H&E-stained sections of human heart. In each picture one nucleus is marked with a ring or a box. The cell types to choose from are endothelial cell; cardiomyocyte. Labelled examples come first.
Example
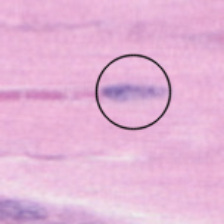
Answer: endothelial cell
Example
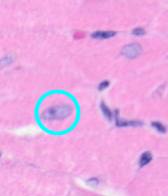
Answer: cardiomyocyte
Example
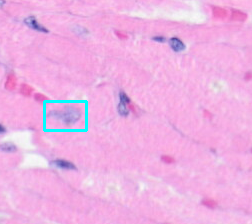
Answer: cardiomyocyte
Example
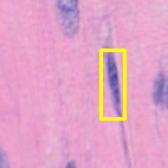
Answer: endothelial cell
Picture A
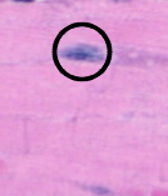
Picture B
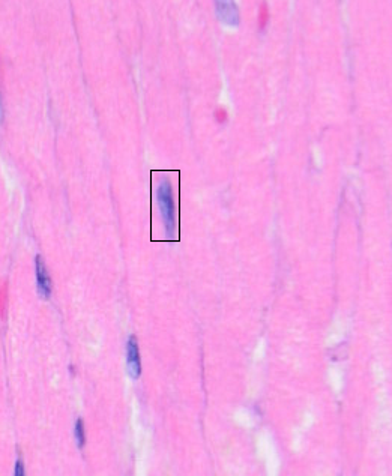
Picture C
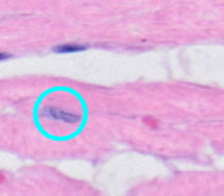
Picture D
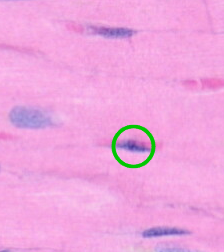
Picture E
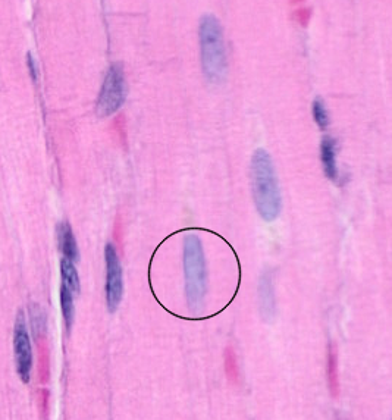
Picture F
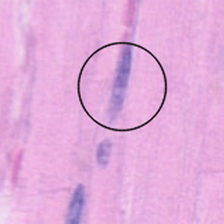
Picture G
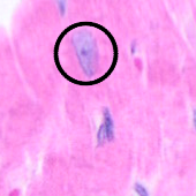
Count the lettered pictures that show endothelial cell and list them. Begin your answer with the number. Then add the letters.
4: A, B, D, F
